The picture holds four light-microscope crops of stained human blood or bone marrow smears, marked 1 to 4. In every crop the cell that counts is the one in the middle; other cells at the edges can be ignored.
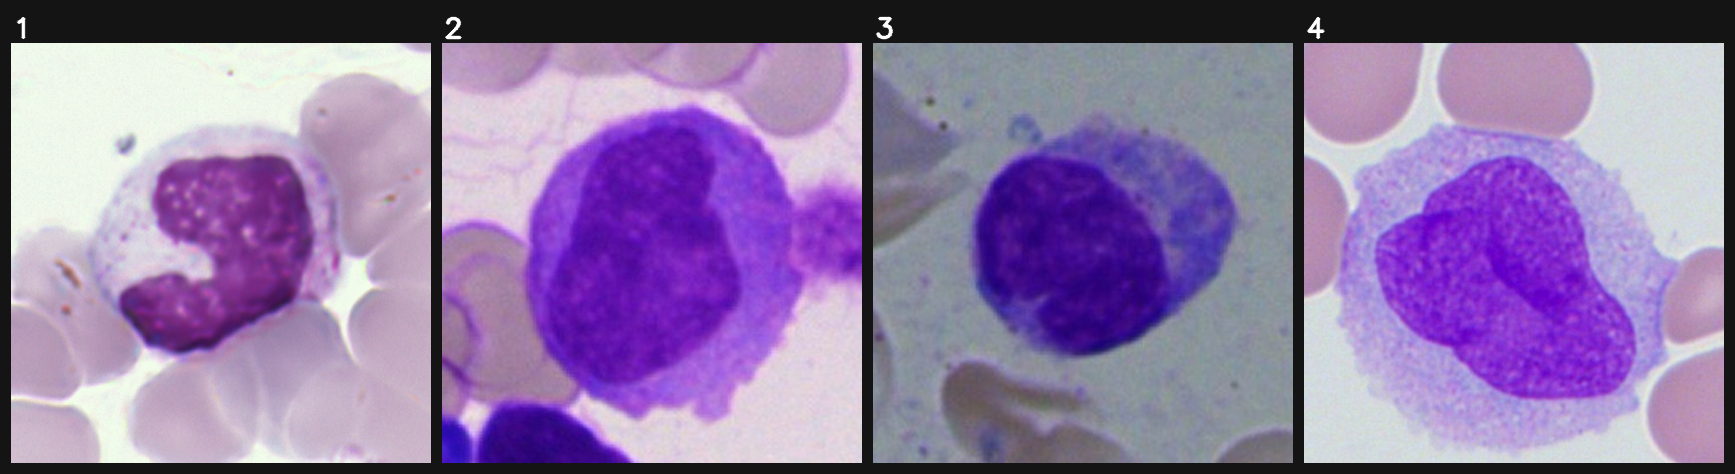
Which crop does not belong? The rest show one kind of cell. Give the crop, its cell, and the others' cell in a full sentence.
The crop that differs is crop 1, showing a band neutrophil; the others show monocytes.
